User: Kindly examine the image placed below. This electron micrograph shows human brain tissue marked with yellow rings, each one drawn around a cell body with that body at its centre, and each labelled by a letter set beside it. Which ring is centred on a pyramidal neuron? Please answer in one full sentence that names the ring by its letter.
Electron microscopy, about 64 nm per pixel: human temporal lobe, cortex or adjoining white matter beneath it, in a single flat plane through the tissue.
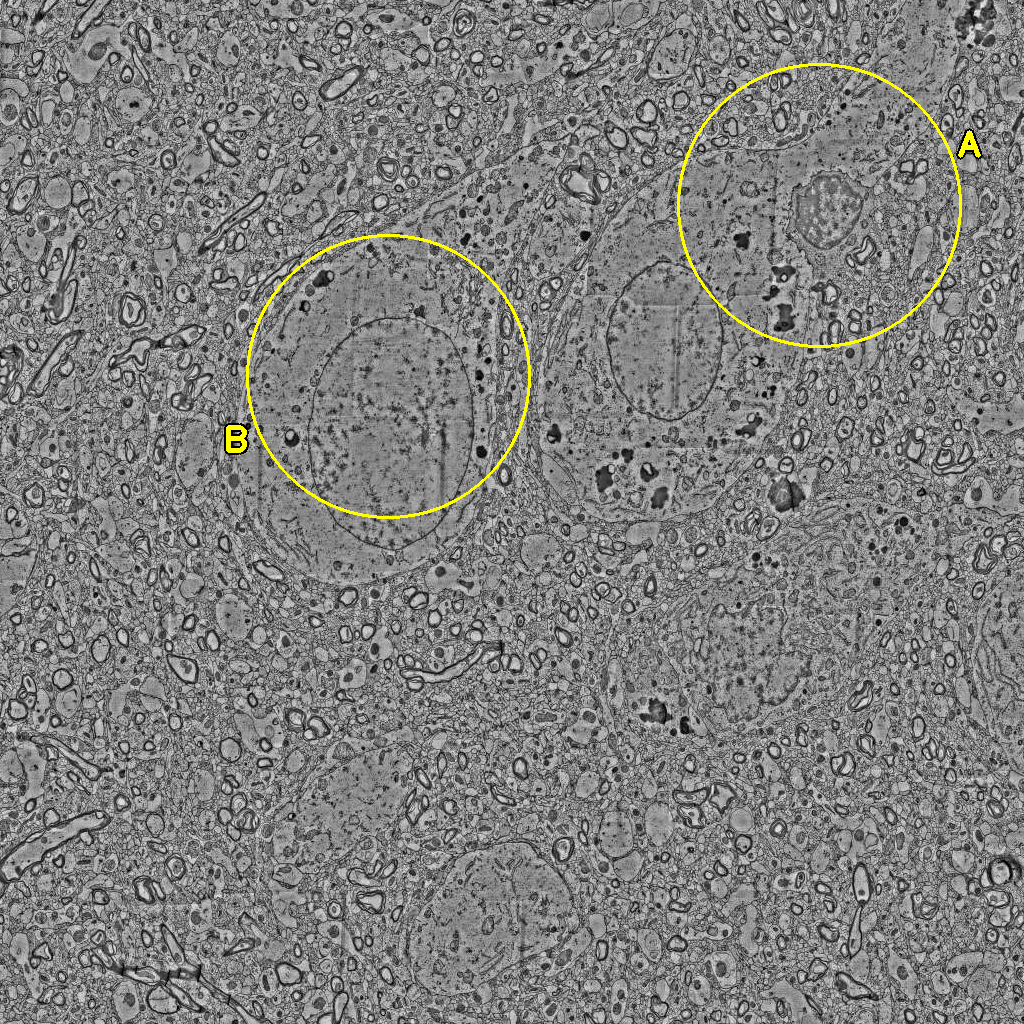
Ring B is the one drawn around the cell asked for.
